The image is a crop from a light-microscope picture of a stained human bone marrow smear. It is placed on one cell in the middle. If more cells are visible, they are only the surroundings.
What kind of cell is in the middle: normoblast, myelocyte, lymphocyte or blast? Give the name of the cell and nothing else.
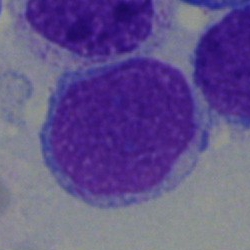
blast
